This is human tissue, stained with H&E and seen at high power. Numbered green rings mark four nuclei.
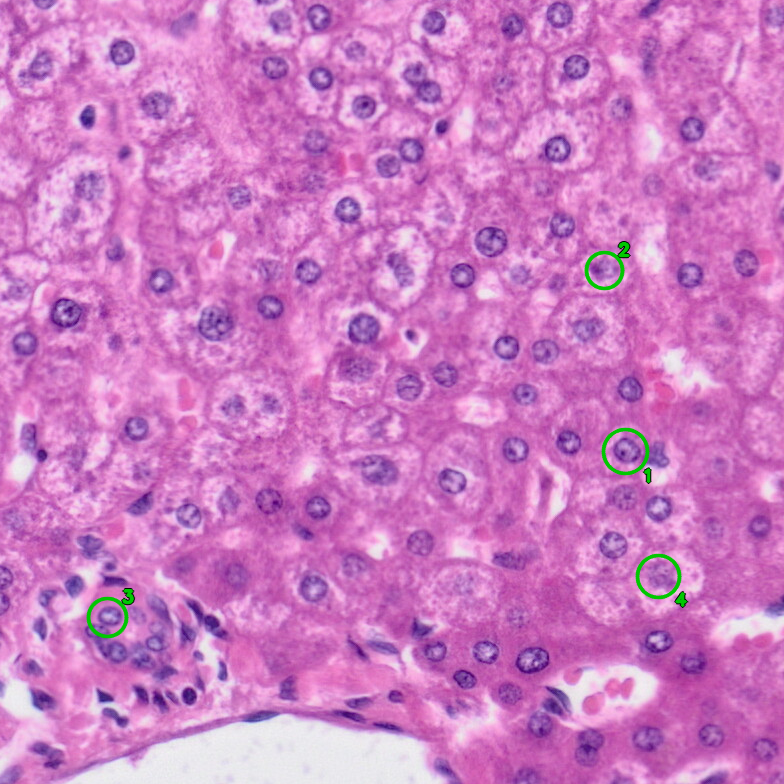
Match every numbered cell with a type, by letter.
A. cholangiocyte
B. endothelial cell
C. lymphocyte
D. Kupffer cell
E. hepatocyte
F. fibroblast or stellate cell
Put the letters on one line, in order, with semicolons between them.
E; E; A; E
